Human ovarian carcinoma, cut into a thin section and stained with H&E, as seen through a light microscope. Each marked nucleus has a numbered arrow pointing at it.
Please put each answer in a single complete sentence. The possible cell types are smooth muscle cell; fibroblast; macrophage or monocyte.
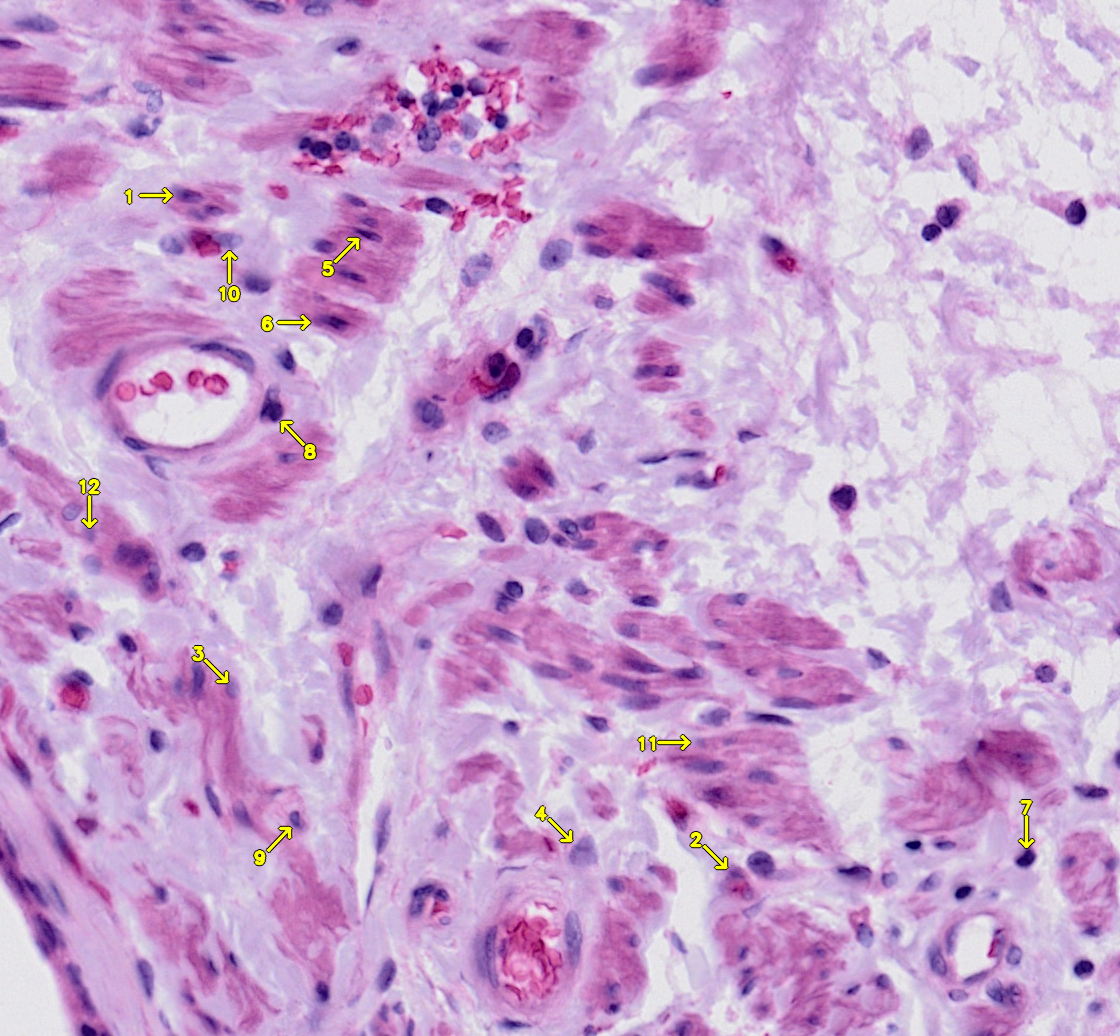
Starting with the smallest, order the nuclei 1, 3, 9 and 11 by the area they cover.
The order from the smallest nucleus to the largest is 11, 9, 3, 1.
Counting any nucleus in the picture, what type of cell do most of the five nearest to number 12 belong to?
Most of the five nuclei nearest to number 12 are those of smooth muscle cells.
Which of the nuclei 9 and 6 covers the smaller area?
Nucleus 9 is the smaller one; nucleus 6 covers about 2 times its area.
